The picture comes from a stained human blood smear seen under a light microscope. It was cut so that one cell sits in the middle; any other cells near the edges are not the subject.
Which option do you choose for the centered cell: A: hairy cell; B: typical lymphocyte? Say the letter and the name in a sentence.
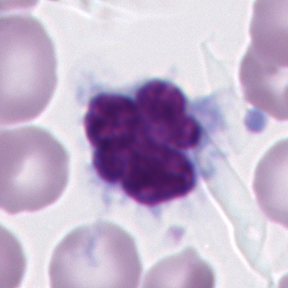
Option A is the right choice, the central cell being a hairy cell.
